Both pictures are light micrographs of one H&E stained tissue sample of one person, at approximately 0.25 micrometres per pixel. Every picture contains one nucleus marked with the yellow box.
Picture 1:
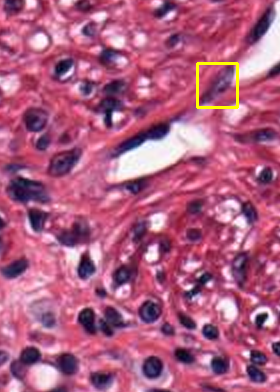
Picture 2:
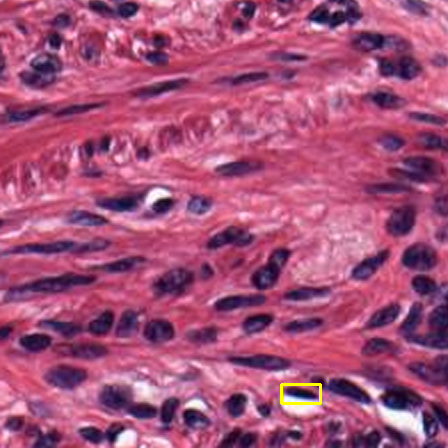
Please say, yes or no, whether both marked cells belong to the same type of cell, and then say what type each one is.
Yes, both are endothelial cells.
